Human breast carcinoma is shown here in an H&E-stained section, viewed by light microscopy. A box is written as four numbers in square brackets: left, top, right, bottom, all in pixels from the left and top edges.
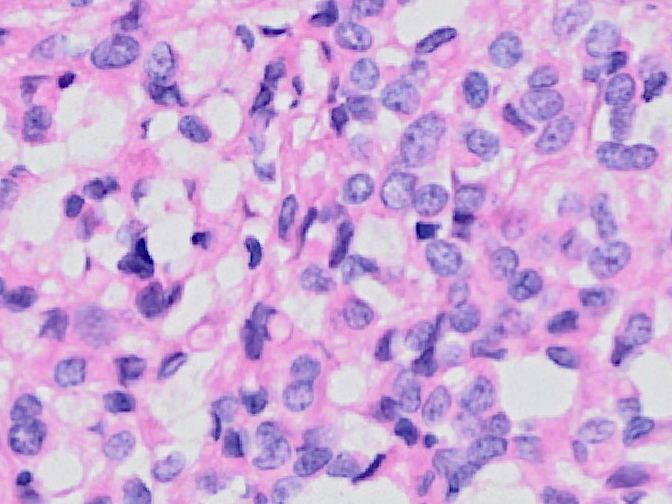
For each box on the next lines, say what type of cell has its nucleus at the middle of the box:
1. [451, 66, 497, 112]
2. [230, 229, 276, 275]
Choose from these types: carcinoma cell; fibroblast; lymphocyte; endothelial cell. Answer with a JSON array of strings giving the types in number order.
["carcinoma cell", "lymphocyte"]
